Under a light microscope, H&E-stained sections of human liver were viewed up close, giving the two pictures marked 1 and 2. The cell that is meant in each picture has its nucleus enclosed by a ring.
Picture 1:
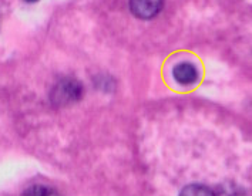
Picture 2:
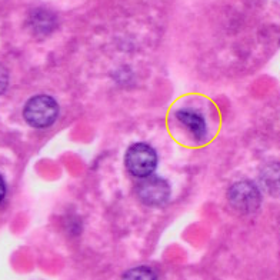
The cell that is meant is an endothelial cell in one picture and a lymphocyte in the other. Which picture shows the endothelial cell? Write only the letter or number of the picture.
2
